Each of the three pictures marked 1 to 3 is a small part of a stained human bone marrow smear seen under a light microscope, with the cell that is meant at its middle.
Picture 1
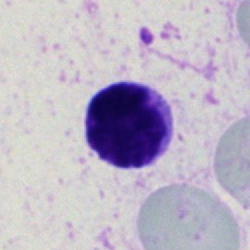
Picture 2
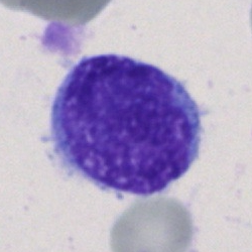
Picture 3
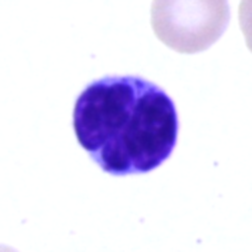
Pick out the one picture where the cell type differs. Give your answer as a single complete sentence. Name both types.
All pictures except 2 show lymphocytes; picture 2 shows a blast.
